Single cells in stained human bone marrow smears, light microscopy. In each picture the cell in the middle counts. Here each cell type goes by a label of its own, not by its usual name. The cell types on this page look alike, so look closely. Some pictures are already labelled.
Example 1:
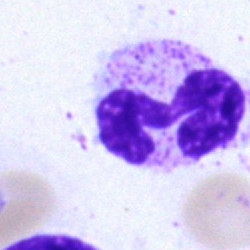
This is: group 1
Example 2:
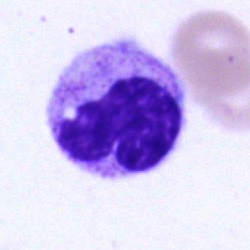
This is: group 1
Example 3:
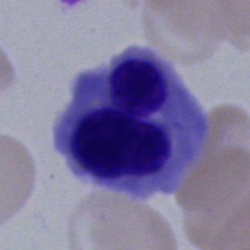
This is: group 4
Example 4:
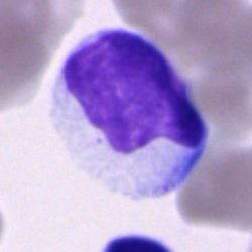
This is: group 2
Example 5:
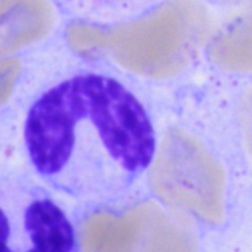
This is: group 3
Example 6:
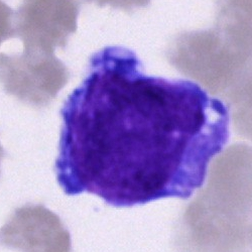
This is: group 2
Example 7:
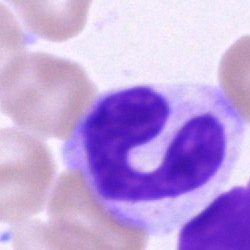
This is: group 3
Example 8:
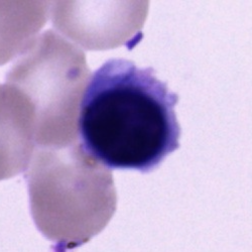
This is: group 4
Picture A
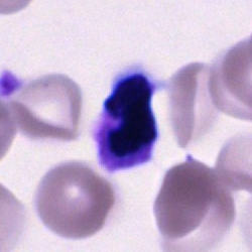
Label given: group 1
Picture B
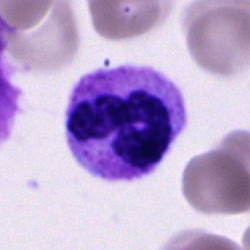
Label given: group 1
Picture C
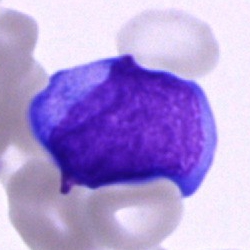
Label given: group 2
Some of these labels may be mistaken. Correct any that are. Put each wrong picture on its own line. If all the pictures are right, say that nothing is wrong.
No label is wrong.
